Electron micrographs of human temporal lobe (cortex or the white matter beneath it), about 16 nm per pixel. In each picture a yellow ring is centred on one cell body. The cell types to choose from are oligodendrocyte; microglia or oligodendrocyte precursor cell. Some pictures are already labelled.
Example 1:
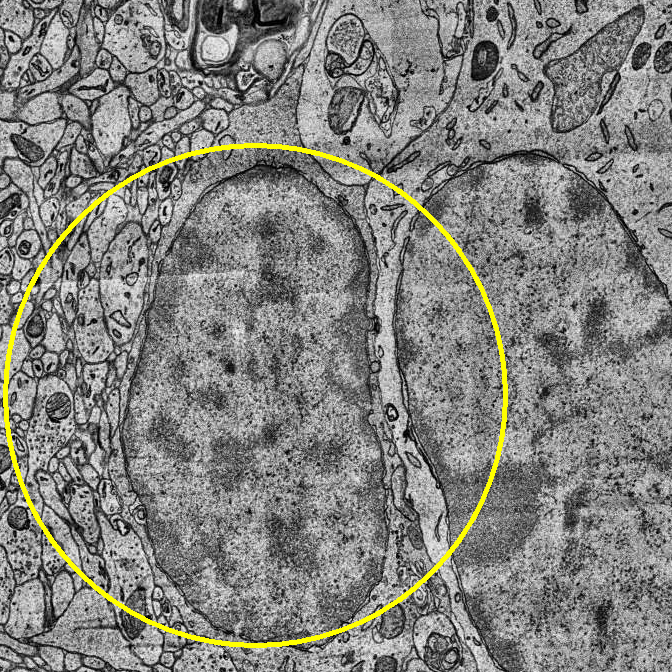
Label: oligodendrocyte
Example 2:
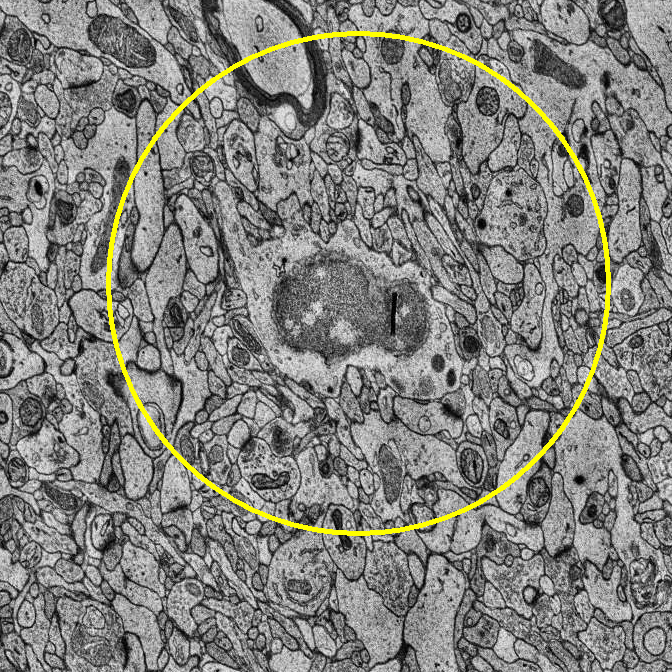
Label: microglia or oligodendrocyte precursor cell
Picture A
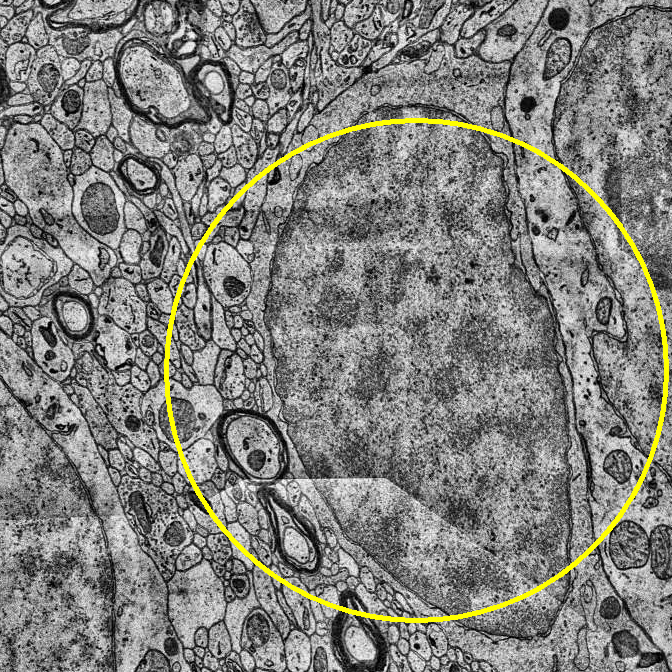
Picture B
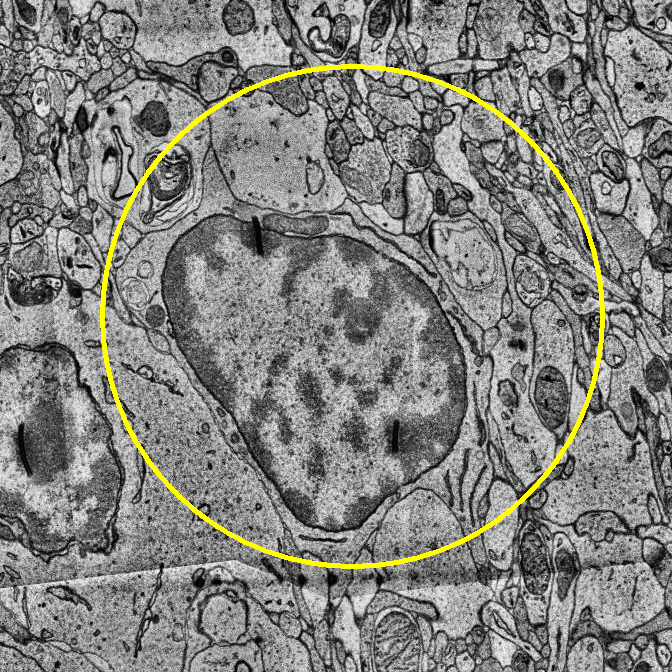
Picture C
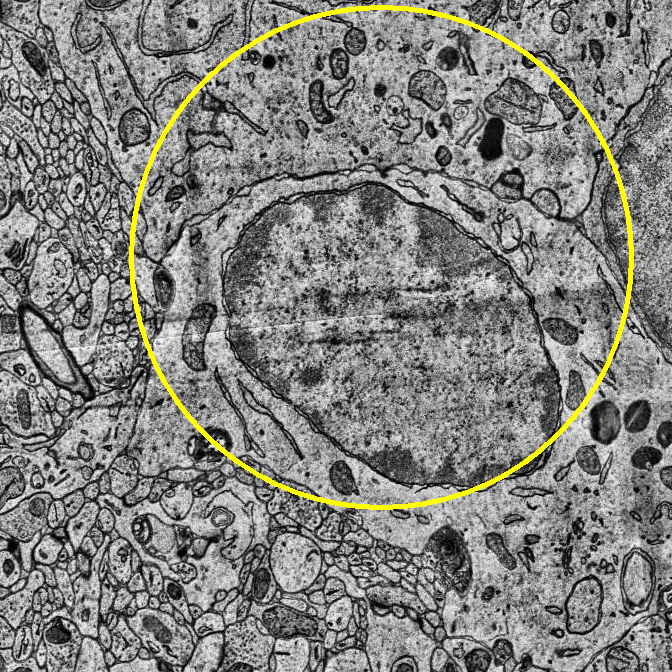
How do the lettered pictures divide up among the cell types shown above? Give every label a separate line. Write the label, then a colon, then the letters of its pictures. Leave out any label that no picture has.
oligodendrocyte: A
microglia or oligodendrocyte precursor cell: B, C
